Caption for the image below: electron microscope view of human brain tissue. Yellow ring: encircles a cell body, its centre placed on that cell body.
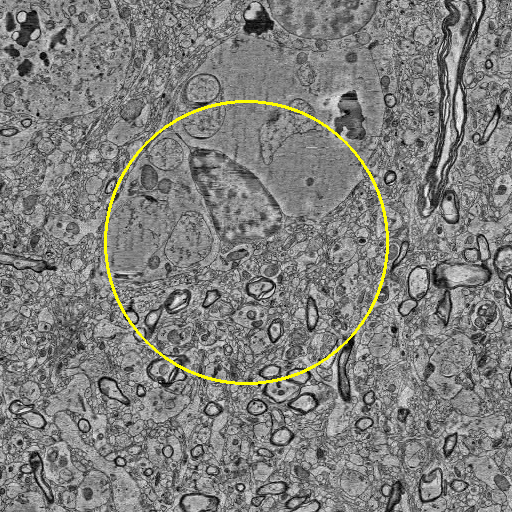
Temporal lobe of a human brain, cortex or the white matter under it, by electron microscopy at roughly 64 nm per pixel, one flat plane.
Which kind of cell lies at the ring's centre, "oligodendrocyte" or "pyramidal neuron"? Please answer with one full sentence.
The picture shows an oligodendrocyte at the centre of the yellow ring.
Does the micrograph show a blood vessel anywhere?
Yes, a vessel appears in the picture.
